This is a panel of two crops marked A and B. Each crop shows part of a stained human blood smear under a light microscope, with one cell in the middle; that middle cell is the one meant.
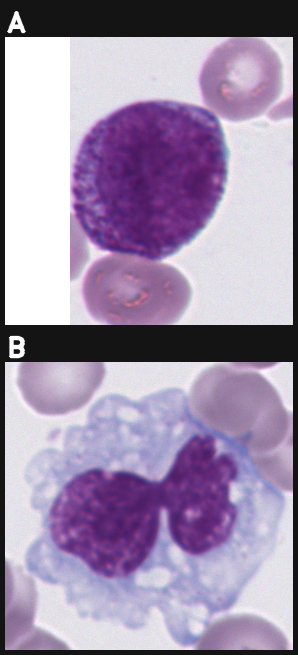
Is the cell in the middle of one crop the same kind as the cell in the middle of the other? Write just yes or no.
no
